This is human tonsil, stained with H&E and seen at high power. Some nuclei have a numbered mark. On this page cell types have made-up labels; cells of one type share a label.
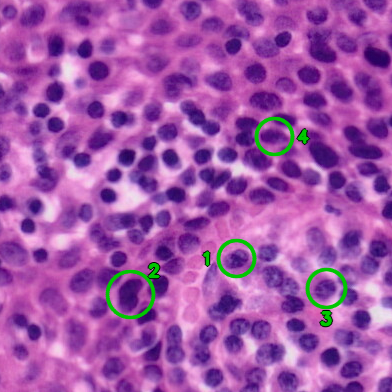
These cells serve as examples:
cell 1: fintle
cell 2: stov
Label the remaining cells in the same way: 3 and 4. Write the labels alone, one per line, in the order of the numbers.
fintle
stov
